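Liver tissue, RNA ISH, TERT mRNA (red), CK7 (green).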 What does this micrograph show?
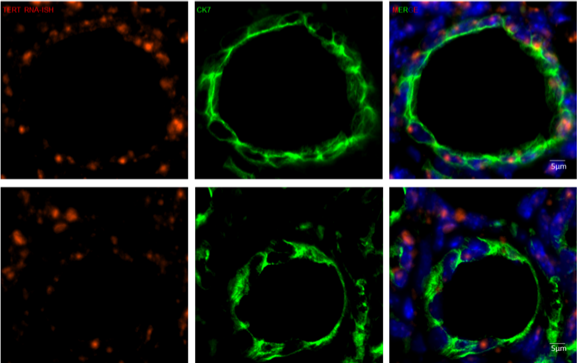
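A small bile duct is cut across, seen as a single ring of cholangiocytes whose borders are outlined in green around a wide, round, empty lumen. In the merged images blue nuclei line the ring and red dots lie scattered in and around the duct wall and the surrounding tissue.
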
